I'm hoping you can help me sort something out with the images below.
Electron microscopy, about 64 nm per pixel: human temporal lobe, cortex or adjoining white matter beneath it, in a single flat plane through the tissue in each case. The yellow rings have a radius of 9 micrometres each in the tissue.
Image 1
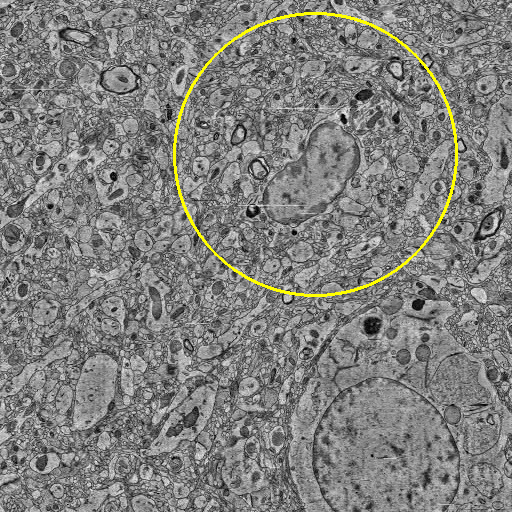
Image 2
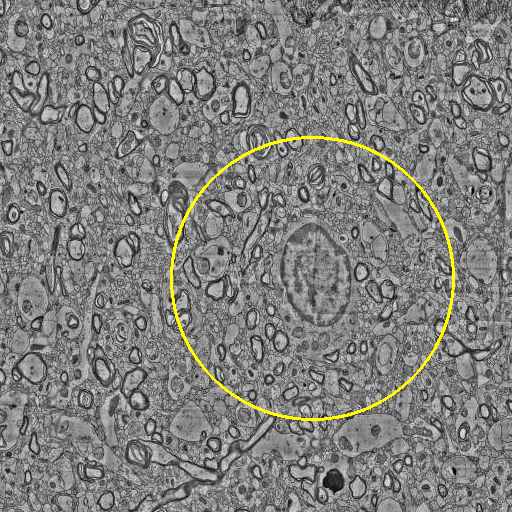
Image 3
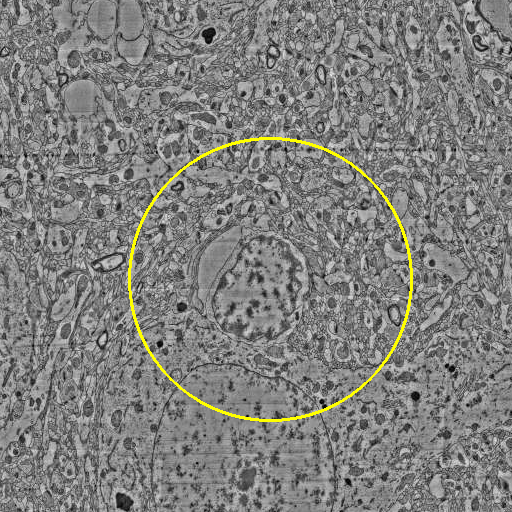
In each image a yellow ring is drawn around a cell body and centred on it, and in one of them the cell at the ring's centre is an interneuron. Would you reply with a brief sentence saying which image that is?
In Image 3, the cell at the centre of the ring is the one you asked about.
